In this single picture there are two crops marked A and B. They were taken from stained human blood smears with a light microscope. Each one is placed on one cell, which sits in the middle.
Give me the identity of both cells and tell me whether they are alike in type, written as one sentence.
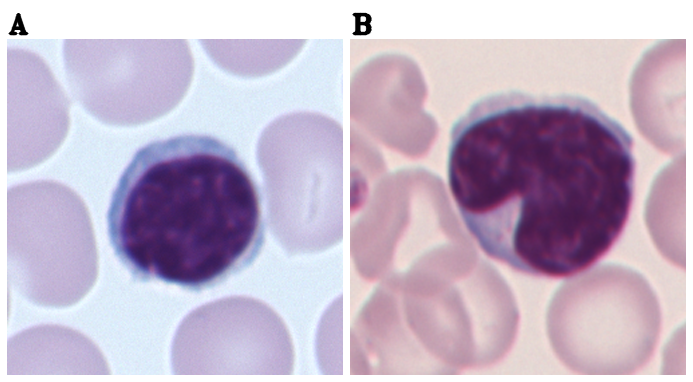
Yes, the cells under consideration in both crops are typical lymphocytes.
